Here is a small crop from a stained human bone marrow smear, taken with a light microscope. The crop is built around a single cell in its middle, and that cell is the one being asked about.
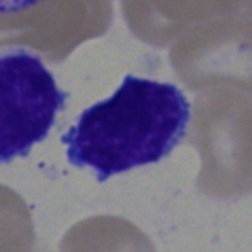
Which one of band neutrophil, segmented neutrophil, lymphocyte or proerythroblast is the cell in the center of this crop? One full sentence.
Classified as a lymphocyte is the cell in the middle of this crop.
